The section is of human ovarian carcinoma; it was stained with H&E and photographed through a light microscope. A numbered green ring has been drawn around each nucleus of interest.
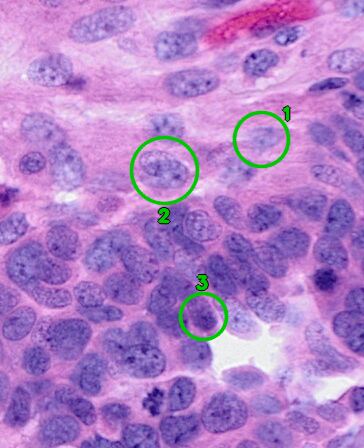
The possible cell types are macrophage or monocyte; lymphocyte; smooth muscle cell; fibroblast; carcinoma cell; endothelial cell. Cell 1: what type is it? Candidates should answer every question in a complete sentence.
It is as a fibroblast that the cell numbered 1 is identified.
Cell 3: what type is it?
The cell given label 3 is a carcinoma cell.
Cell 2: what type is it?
The nucleus labeled 2 belongs to a fibroblast.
